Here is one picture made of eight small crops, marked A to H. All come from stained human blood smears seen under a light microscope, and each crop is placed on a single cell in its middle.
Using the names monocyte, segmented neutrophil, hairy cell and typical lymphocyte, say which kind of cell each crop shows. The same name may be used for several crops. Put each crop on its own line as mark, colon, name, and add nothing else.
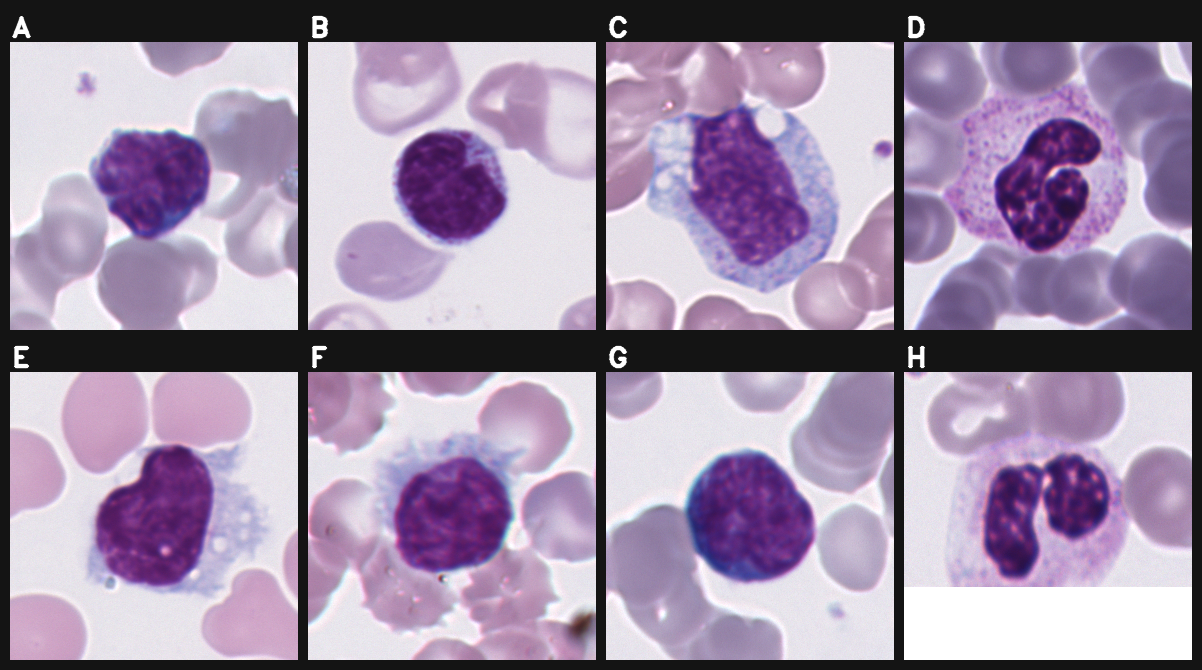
A: typical lymphocyte
B: typical lymphocyte
C: monocyte
D: segmented neutrophil
E: hairy cell
F: hairy cell
G: typical lymphocyte
H: segmented neutrophil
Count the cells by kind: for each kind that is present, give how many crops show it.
typical lymphocyte: 3
segmented neutrophil: 2
hairy cell: 2
monocyte: 1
